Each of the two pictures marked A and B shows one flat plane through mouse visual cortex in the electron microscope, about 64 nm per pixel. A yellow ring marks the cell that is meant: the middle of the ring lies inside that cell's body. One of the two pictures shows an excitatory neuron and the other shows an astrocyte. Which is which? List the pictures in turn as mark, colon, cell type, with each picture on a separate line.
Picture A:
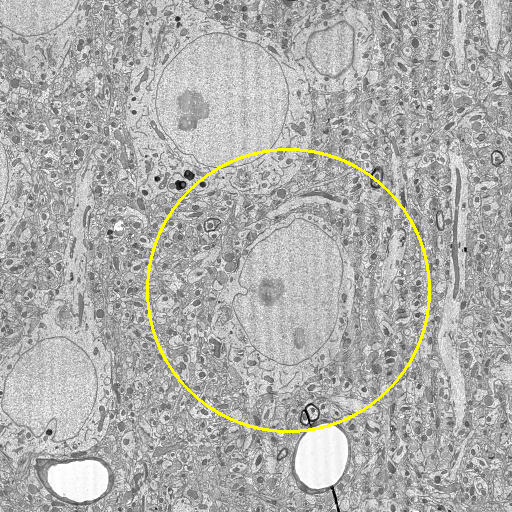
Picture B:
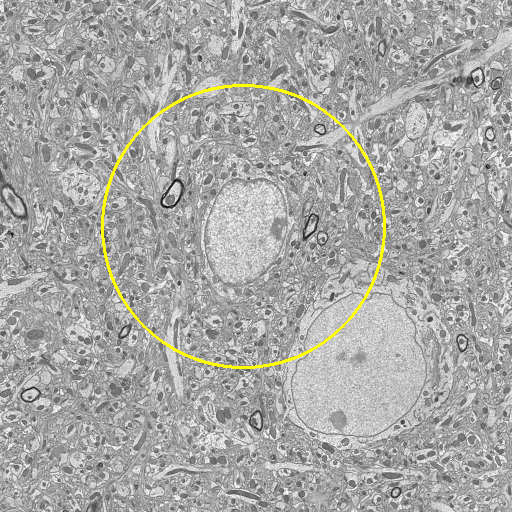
A: excitatory neuron
B: astrocyte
